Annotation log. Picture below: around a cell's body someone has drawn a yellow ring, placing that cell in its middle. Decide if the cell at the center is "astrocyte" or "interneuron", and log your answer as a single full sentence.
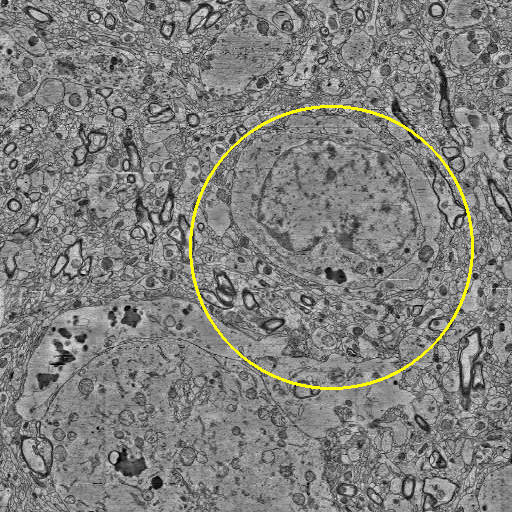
My entry records an interneuron as the cell sitting at the center of the yellow ring.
